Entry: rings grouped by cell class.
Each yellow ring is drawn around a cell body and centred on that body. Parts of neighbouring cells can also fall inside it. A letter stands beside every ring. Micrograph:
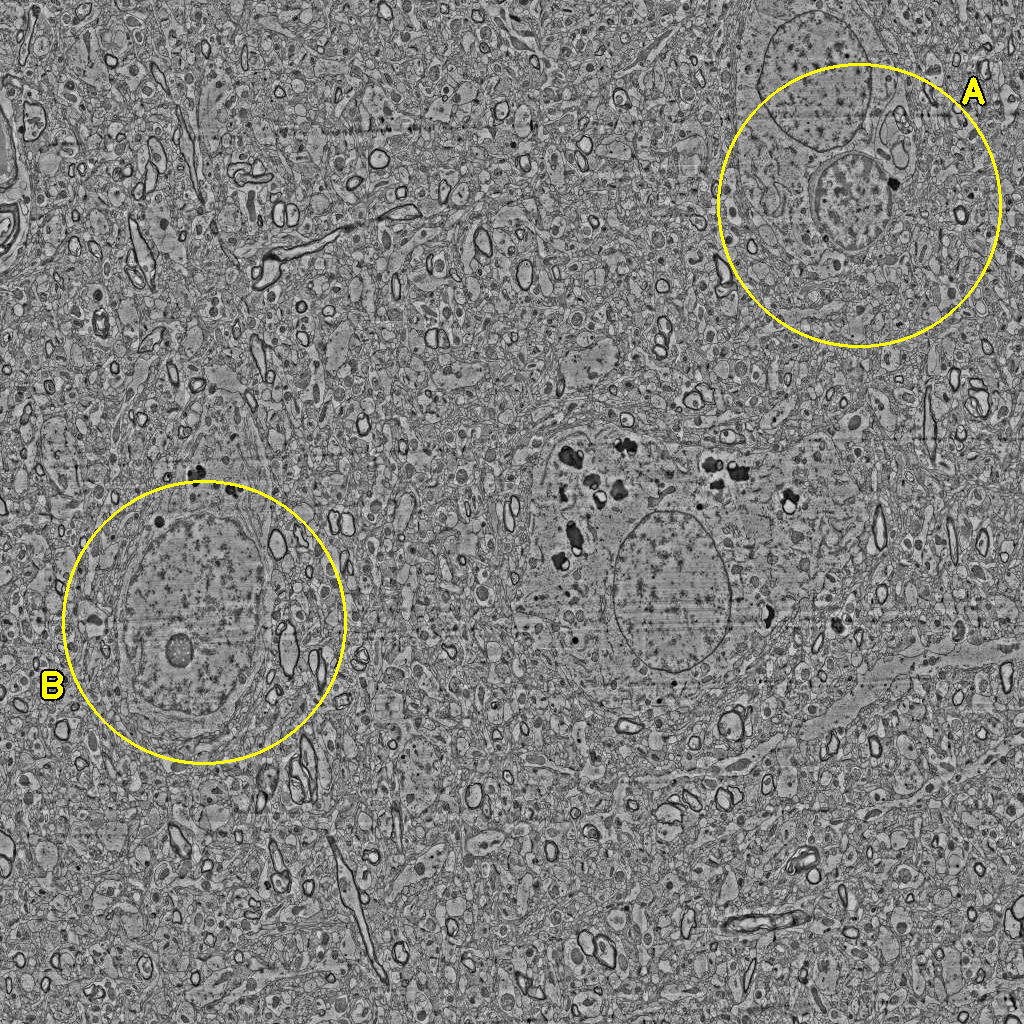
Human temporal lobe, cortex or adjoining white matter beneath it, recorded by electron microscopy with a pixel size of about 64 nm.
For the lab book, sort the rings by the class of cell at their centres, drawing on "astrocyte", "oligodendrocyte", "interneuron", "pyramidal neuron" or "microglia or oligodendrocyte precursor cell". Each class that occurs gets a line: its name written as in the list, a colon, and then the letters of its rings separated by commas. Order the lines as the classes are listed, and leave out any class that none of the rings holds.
oligodendrocyte: A
interneuron: B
